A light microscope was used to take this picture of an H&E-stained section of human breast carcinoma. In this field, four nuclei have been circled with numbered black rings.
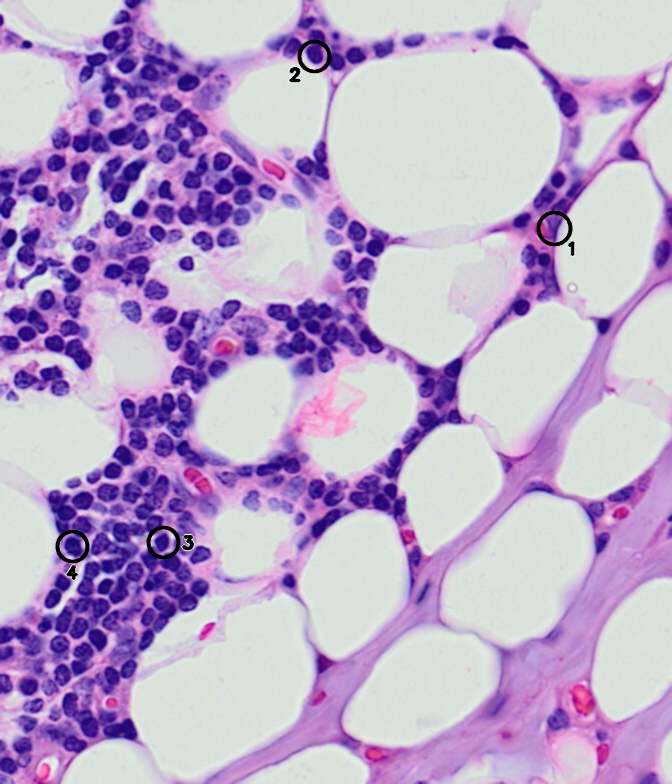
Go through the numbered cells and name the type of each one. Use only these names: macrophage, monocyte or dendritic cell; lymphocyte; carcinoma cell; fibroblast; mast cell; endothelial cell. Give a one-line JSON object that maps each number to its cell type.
{"1": "endothelial cell", "2": "lymphocyte", "3": "lymphocyte", "4": "lymphocyte"}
